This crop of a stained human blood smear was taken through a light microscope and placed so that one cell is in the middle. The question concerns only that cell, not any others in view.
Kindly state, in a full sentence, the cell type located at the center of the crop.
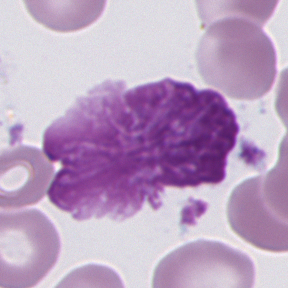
What the crop centres on is a smudge cell.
